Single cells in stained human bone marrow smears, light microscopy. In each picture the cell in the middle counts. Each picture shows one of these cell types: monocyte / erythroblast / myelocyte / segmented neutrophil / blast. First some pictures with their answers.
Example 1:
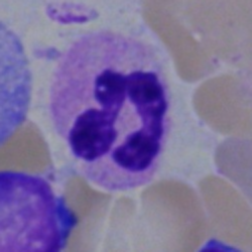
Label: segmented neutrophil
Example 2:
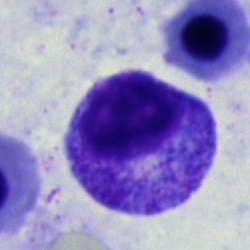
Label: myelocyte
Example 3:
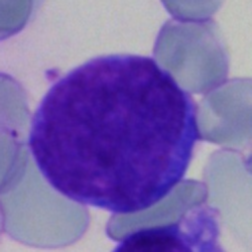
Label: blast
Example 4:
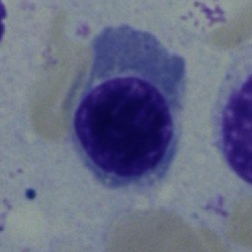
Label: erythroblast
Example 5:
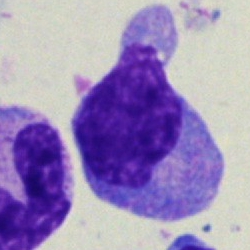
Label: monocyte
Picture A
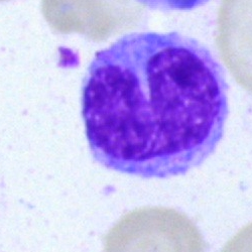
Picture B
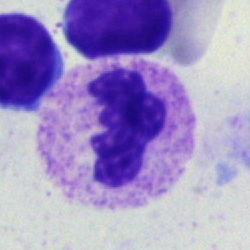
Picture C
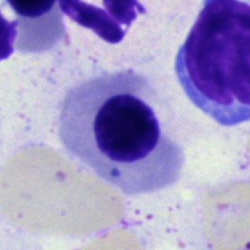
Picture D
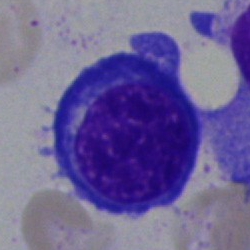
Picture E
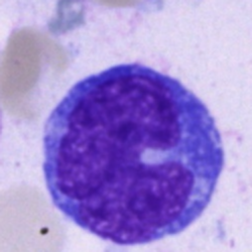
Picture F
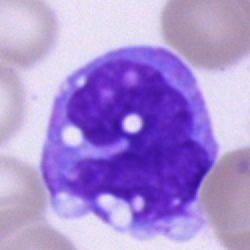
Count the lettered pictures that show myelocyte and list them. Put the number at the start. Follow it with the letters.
0, none of them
